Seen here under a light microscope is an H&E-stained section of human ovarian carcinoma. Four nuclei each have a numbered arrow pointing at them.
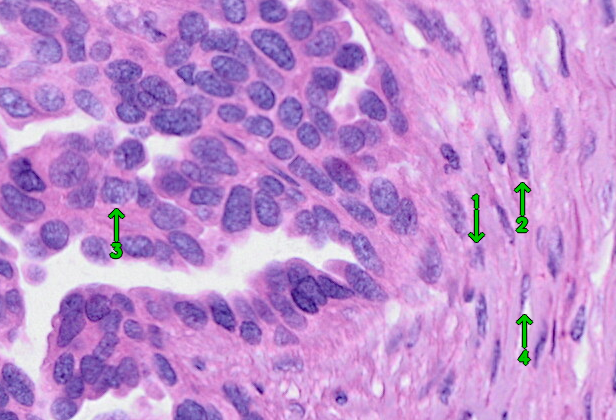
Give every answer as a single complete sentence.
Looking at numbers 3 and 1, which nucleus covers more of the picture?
Nucleus 3 is the larger one, covering about 2 times the area of nucleus 1.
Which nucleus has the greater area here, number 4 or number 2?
Nucleus 2 is the larger one, covering about 3 times the area of nucleus 4.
